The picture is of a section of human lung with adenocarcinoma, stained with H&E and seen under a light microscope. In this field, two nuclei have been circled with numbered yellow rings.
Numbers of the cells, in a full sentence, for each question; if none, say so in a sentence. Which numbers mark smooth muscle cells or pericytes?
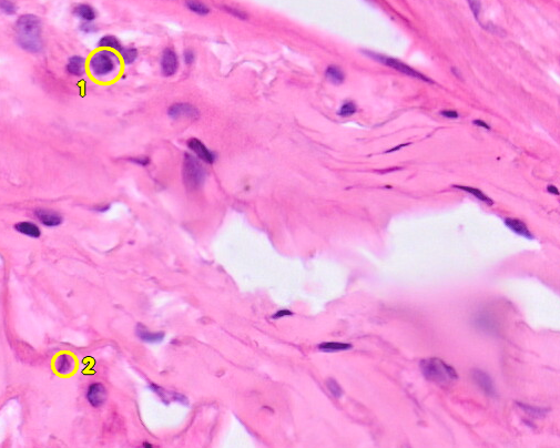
Just one numbered cell is a smooth muscle cell or pericyte, and that cell is number 2.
